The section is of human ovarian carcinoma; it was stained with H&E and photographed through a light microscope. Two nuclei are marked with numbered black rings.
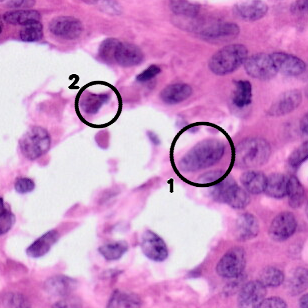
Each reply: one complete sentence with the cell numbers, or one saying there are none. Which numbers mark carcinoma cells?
Cell 1 is a carcinoma cell; no further numbered cell is.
